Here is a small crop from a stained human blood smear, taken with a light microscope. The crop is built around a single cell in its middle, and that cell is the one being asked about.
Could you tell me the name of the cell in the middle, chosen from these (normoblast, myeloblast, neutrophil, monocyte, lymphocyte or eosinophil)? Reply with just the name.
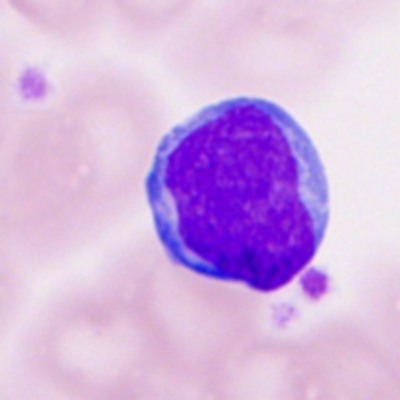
myeloblast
